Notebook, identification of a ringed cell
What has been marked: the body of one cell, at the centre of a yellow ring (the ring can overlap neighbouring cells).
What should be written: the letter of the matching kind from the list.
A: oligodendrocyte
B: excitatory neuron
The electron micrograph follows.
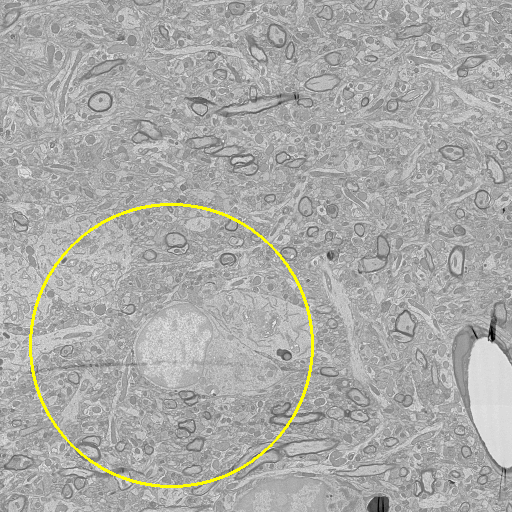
A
